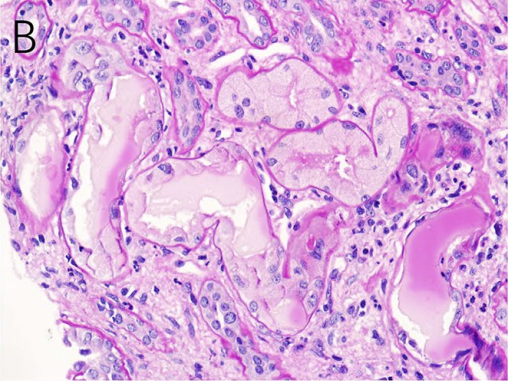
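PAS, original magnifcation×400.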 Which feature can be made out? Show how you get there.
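Dilated tubule lumens filled with pale pink homogeneous material. Tubule epithelium around it is flattened. The answer: cast.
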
